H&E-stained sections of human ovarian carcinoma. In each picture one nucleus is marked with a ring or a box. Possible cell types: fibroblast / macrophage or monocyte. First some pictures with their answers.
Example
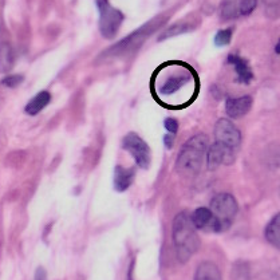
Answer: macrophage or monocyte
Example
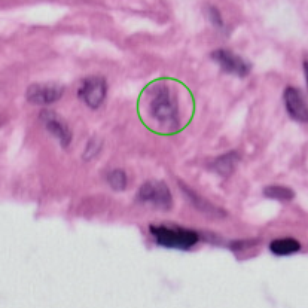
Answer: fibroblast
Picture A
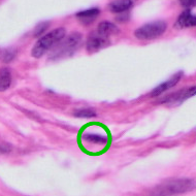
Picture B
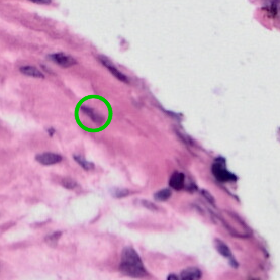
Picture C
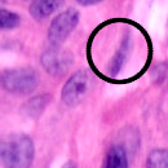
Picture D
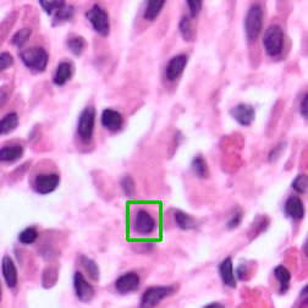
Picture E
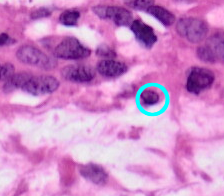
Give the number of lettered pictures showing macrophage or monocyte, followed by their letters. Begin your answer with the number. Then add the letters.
1, namely E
